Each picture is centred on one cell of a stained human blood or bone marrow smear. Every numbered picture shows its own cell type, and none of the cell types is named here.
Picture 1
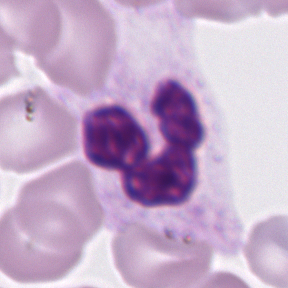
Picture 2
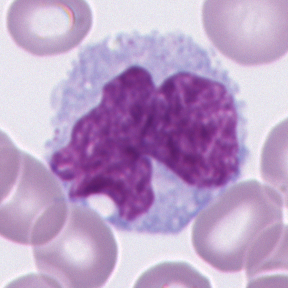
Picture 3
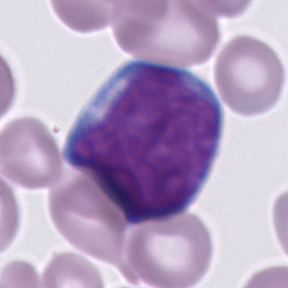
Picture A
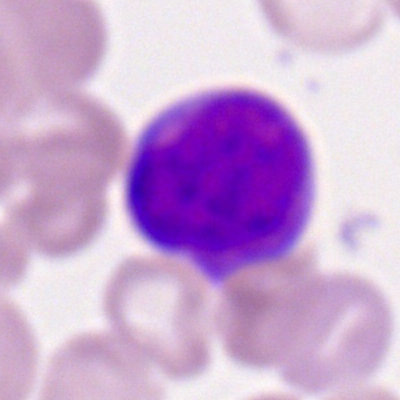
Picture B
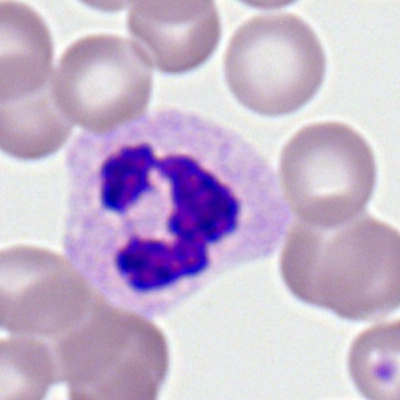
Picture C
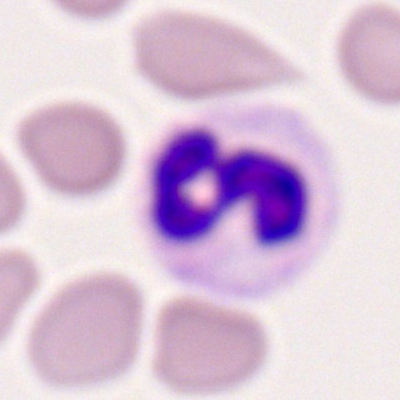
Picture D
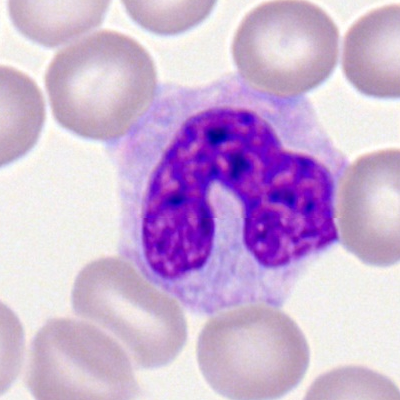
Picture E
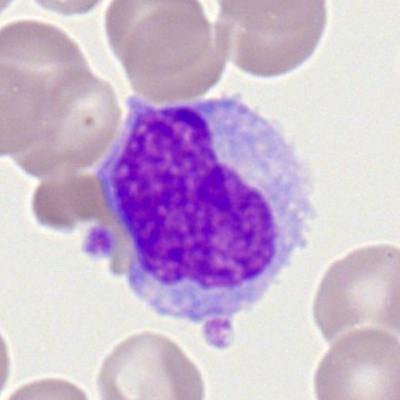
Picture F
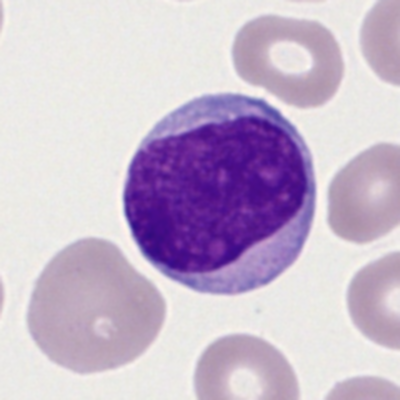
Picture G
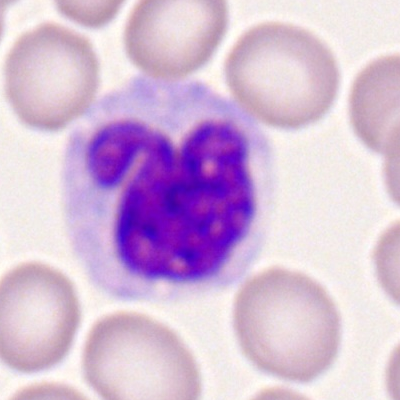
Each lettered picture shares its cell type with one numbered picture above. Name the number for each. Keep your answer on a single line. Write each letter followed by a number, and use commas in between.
A 3, B 1, C 1, D 2, E 2, F 3, G 2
